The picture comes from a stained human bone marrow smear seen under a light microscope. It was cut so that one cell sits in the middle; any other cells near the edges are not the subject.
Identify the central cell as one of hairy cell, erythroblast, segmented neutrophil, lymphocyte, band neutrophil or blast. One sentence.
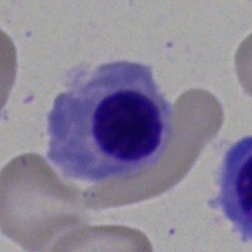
For this crop, the cell in the middle is an erythroblast.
